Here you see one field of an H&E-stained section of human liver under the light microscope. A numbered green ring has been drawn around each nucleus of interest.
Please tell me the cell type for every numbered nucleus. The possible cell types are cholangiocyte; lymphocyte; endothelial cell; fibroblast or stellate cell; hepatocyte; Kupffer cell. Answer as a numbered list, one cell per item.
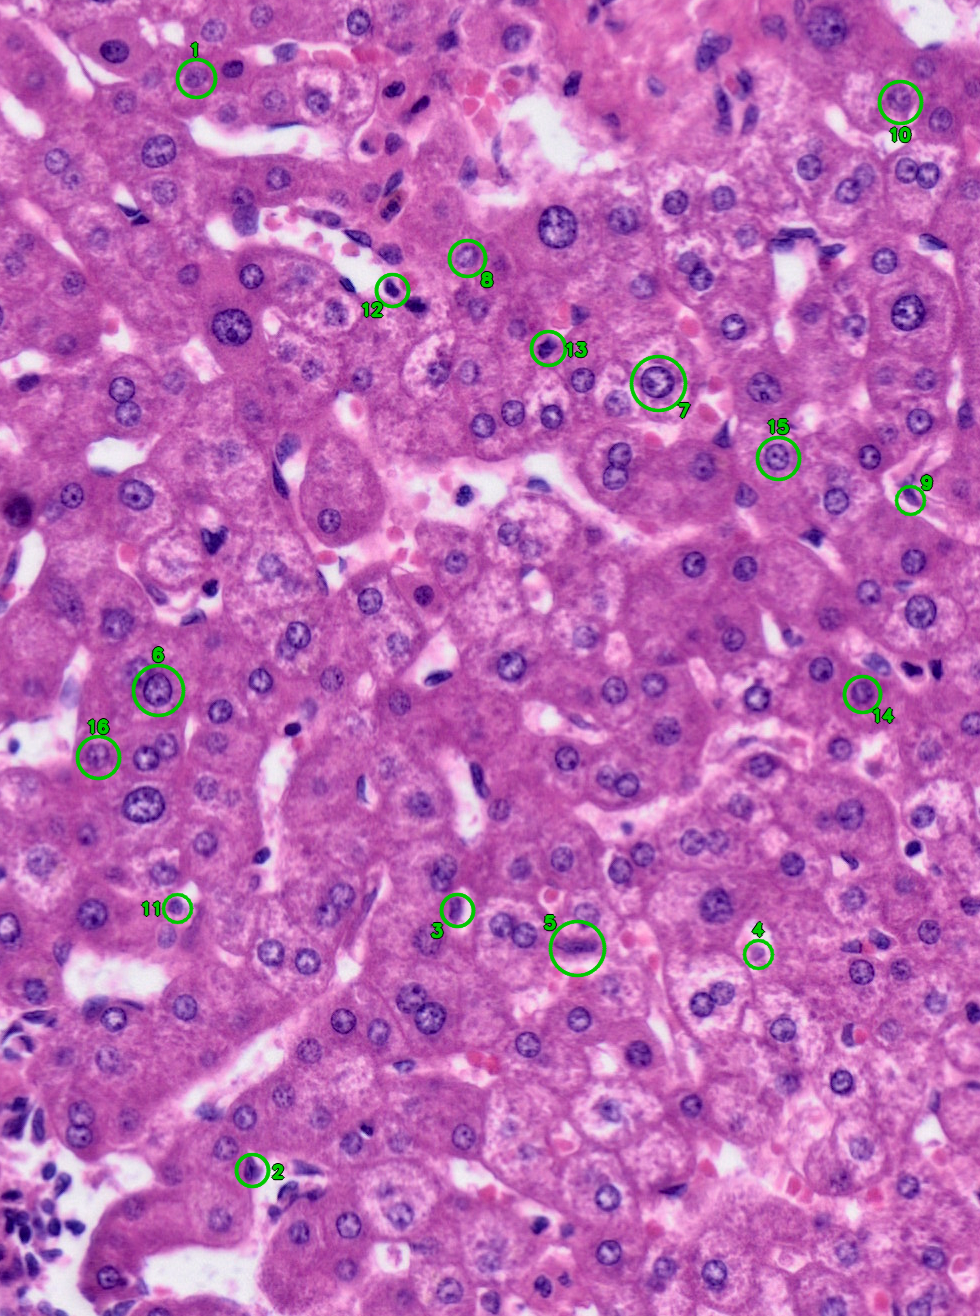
1. hepatocyte
2. fibroblast or stellate cell
3. Kupffer cell
4. Kupffer cell
5. Kupffer cell
6. hepatocyte
7. hepatocyte
8. hepatocyte
9. Kupffer cell
10. hepatocyte
11. lymphocyte
12. lymphocyte
13. fibroblast or stellate cell
14. hepatocyte
15. hepatocyte
16. hepatocyte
